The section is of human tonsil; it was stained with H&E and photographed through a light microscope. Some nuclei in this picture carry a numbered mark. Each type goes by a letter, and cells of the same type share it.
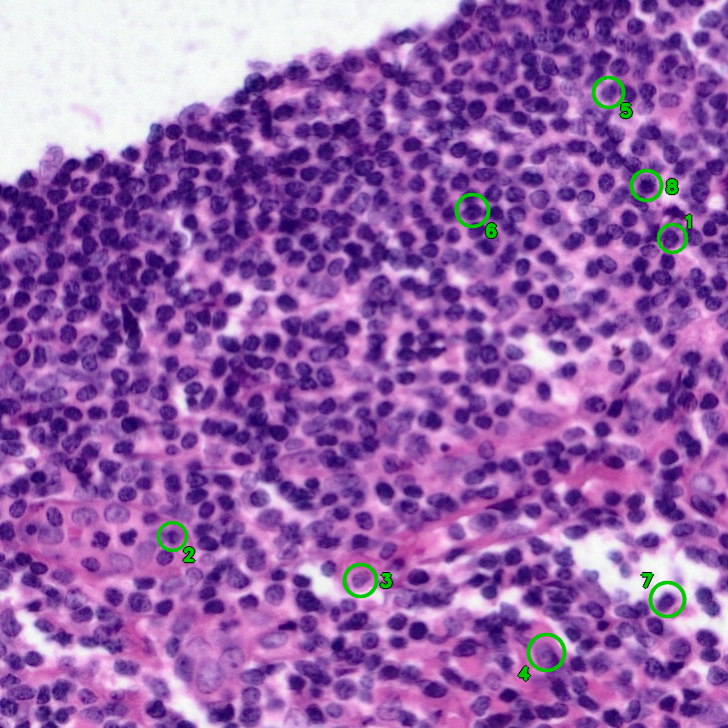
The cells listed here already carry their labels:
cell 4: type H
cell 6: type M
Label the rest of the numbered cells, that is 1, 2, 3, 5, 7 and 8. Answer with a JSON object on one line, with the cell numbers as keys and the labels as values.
{"1": "type M", "2": "type H", "3": "type H", "5": "type M", "7": "type M", "8": "type M"}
